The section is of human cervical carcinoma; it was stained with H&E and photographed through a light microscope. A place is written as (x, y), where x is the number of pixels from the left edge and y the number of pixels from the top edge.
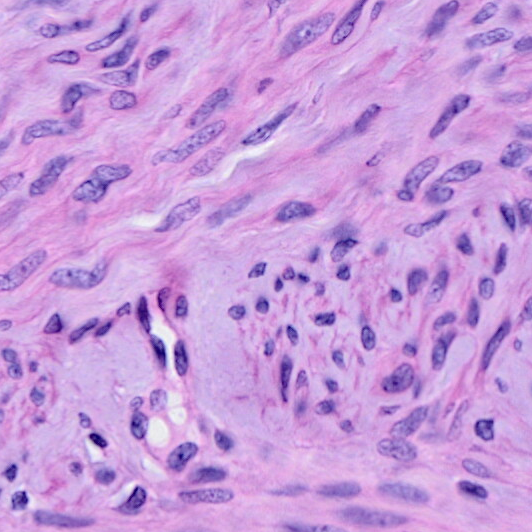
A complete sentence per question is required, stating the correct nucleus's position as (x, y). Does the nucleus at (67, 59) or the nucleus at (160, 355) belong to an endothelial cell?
Of the two nuclei, the one sitting at (160, 355) belongs to an endothelial cell.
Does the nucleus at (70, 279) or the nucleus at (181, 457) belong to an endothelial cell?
The nucleus located at (181, 457) is the one held within an endothelial cell.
